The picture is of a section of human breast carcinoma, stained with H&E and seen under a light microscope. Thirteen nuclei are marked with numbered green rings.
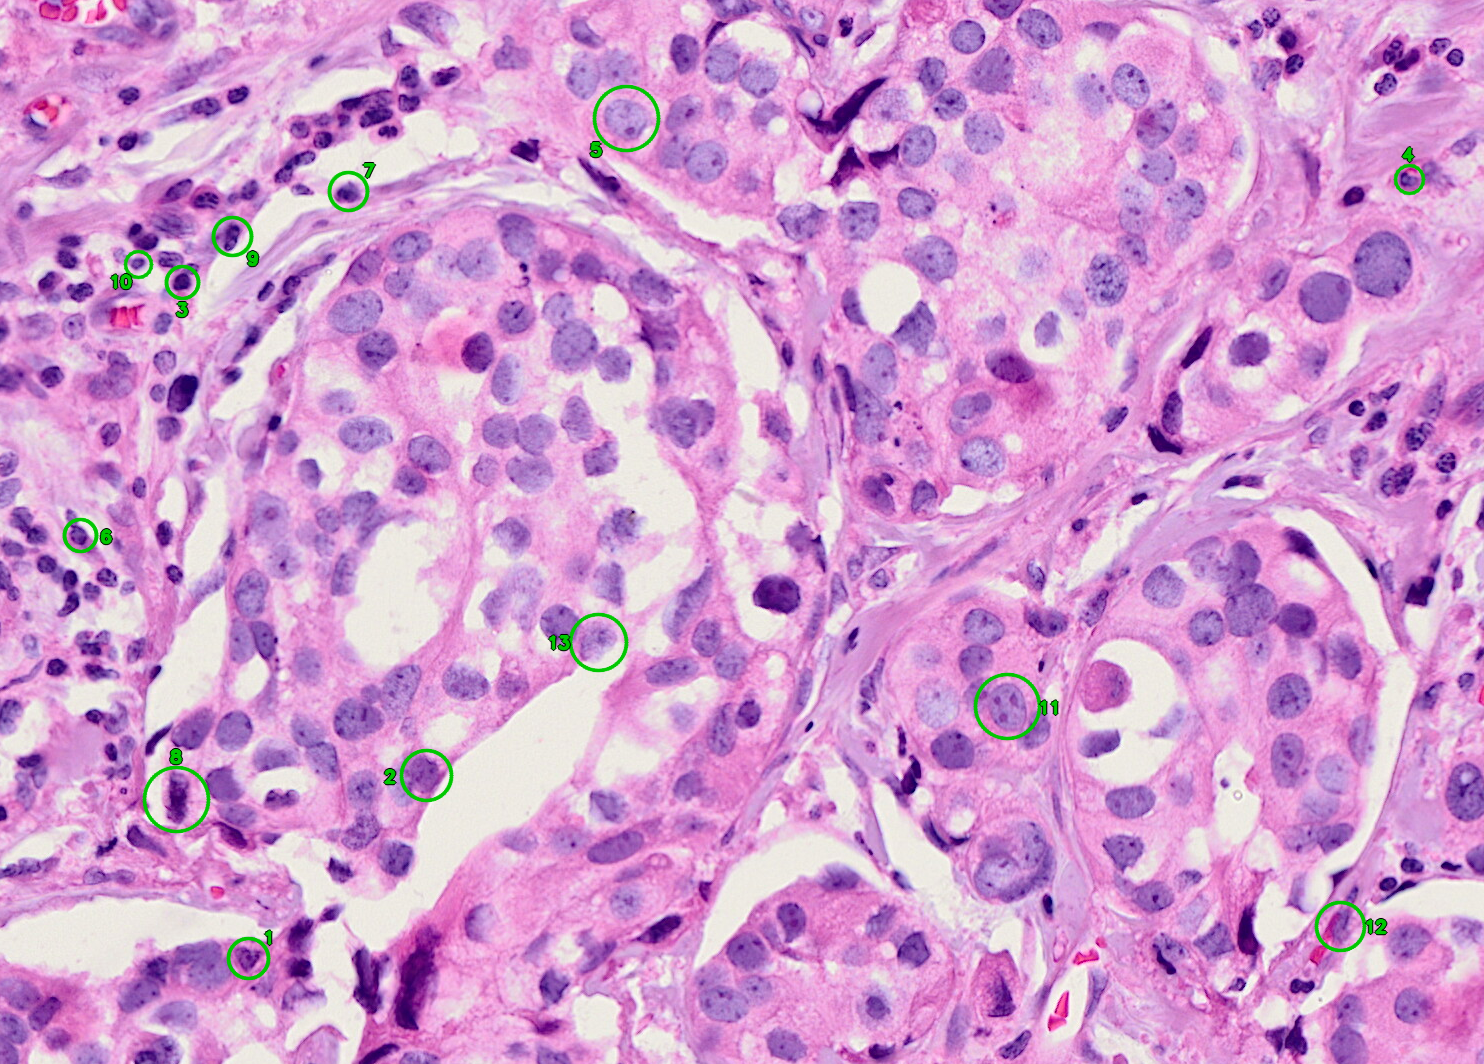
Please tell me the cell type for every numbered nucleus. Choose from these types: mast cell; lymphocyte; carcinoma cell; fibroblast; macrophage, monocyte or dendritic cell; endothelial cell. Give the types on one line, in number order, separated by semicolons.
carcinoma cell; carcinoma cell; lymphocyte; endothelial cell; carcinoma cell; lymphocyte; lymphocyte; carcinoma cell; lymphocyte; lymphocyte; carcinoma cell; endothelial cell; carcinoma cell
